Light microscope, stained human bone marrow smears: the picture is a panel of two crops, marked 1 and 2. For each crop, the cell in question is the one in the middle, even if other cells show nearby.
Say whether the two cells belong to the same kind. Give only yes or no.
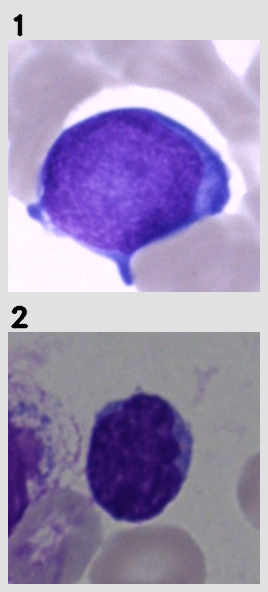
yes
